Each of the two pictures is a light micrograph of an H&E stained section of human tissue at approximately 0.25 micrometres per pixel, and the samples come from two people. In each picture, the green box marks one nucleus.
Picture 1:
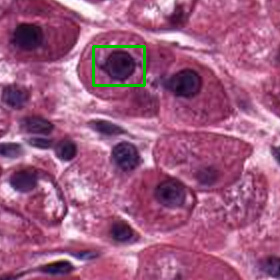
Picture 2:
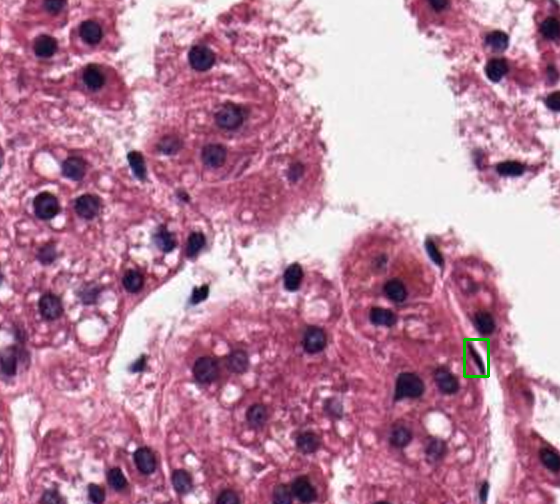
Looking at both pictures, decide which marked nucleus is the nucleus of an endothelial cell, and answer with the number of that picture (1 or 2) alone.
2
